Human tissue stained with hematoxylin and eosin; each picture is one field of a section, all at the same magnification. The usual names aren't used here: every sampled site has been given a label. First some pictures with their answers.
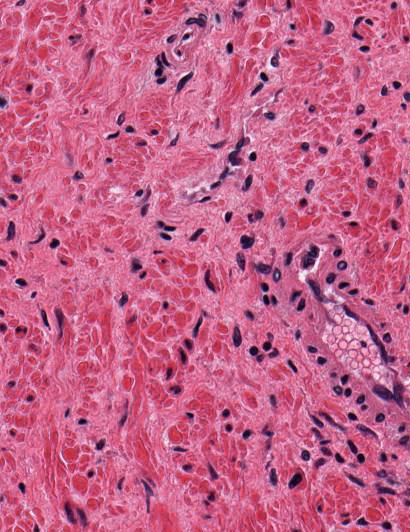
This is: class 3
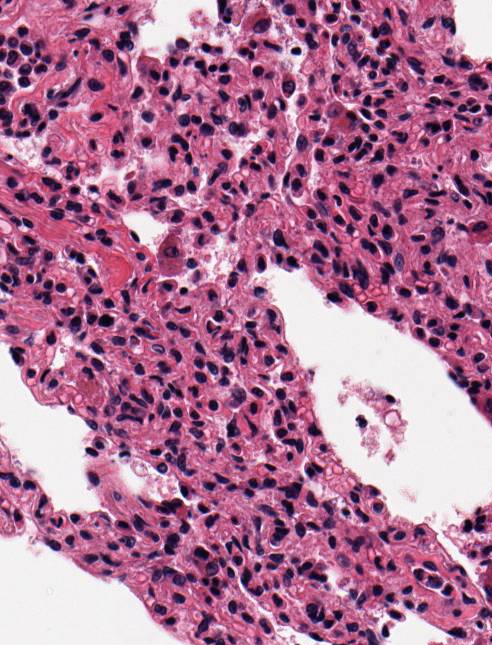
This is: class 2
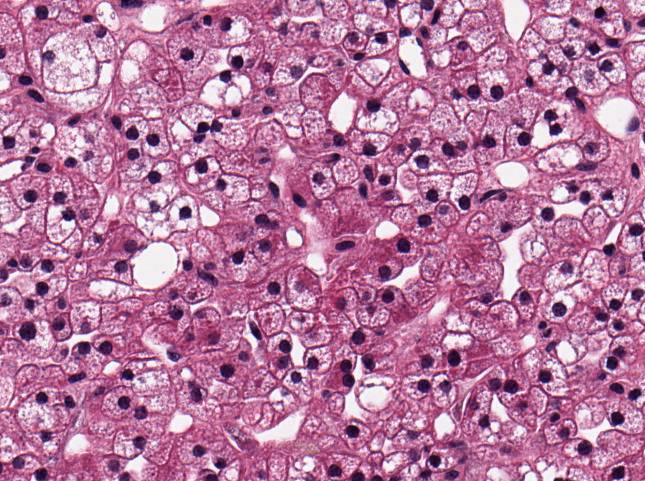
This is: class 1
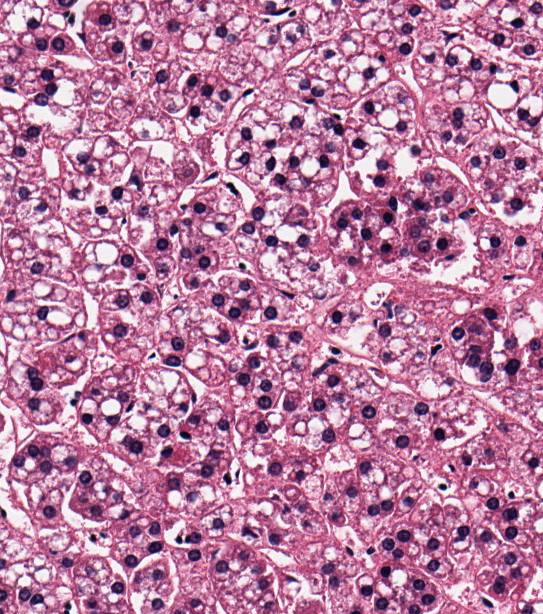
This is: class 1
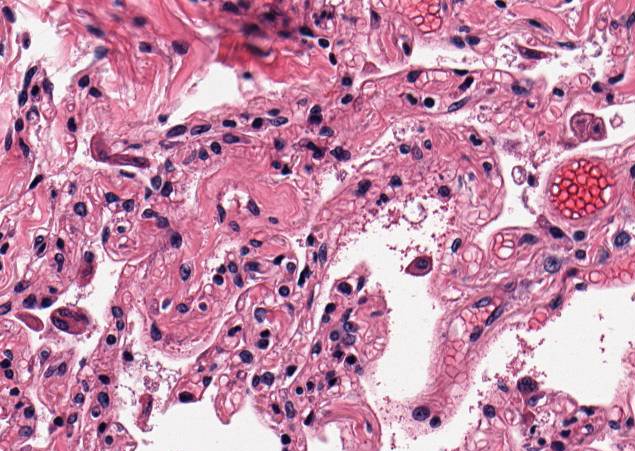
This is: class 2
